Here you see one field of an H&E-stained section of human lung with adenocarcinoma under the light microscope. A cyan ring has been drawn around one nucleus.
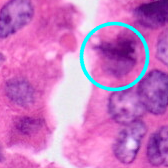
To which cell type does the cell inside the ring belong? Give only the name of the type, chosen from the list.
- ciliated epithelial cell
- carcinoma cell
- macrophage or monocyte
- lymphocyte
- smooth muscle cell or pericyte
carcinoma cell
